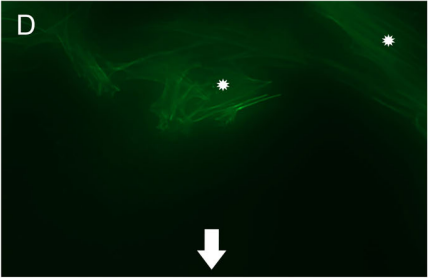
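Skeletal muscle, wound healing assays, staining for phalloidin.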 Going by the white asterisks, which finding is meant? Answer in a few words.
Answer: Misfolded actin cytoskeleton.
